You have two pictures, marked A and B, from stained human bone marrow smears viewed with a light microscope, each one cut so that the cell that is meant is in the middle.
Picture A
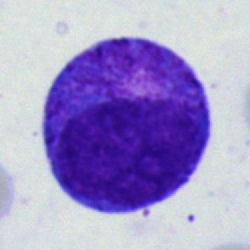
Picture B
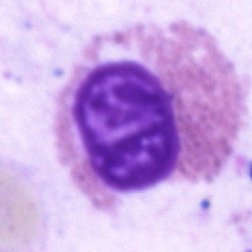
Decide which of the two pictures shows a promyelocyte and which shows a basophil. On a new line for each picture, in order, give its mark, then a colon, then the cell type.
A: promyelocyte
B: basophil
